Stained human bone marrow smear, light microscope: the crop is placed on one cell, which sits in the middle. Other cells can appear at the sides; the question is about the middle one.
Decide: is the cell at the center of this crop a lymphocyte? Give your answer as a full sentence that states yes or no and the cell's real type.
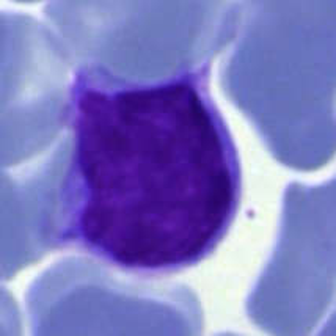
Yes, the cell of interest in the middle is a lymphocyte.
